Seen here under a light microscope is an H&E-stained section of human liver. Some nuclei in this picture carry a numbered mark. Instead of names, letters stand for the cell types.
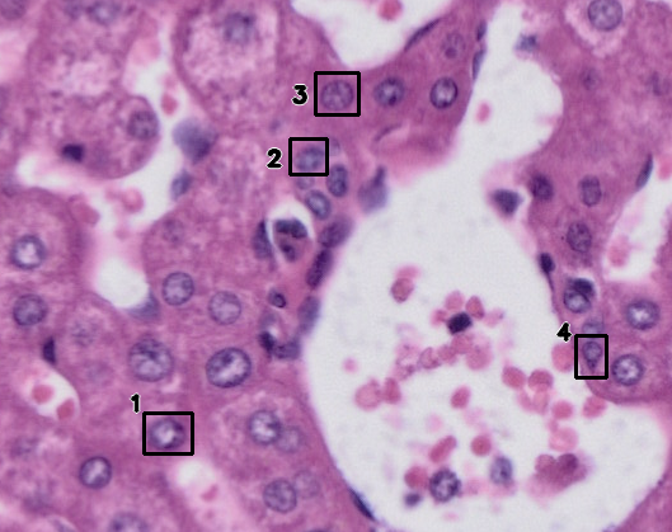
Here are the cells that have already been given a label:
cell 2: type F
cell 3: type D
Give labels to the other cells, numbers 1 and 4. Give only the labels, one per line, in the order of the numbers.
type D
type F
